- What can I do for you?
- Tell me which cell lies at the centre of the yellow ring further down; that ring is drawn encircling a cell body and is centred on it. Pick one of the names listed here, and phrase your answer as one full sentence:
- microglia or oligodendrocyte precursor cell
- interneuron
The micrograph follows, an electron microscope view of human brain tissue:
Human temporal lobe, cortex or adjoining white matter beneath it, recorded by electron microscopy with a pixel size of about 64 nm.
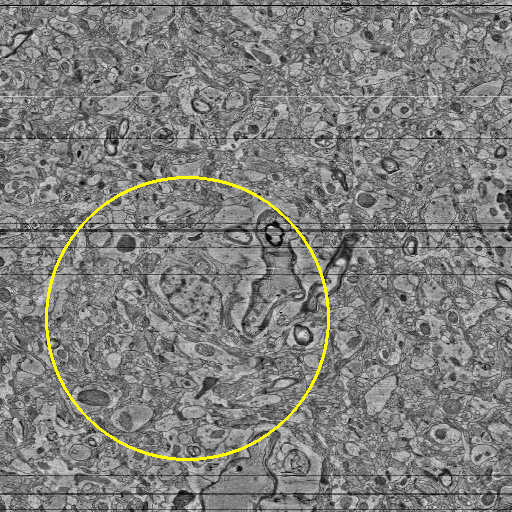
The cell whose body lies at the centre of the yellow ring is a microglial cell or oligodendrocyte precursor cell.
